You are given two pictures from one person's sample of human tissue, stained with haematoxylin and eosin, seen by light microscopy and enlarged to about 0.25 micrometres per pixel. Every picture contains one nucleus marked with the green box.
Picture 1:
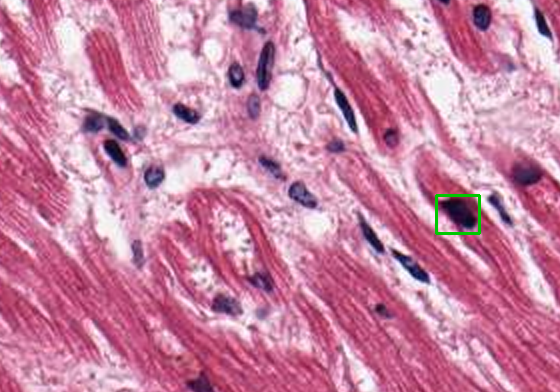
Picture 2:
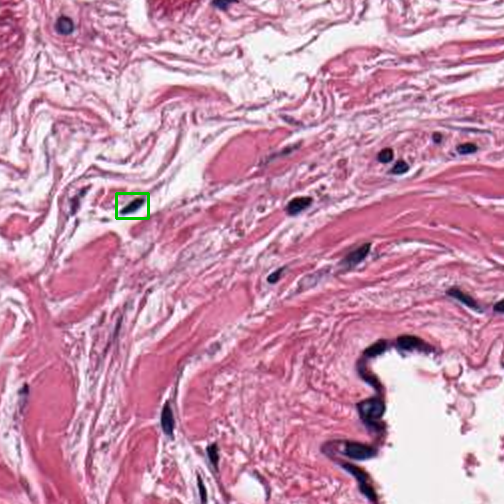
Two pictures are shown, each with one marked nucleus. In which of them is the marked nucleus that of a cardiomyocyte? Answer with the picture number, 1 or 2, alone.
1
